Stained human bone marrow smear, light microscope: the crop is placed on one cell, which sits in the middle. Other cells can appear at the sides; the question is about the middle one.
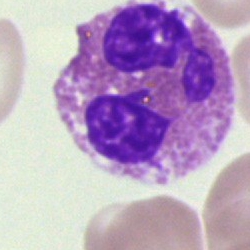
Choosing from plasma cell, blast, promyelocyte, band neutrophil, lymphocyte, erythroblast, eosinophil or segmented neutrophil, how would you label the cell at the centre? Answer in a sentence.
Classification of the middle cell gives an eosinophil.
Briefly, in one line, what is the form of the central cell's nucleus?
The nucleus here is split into two or more lobes, not one.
